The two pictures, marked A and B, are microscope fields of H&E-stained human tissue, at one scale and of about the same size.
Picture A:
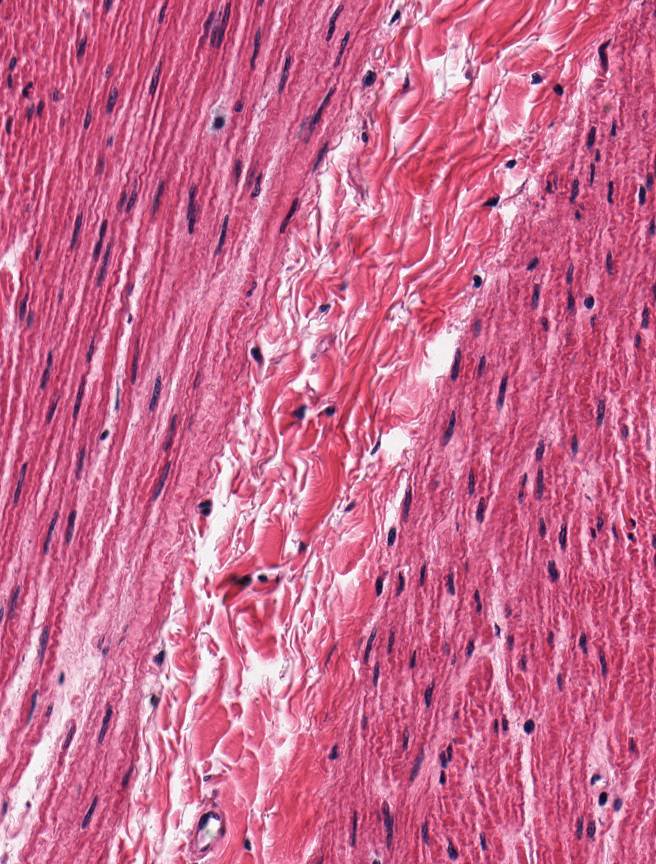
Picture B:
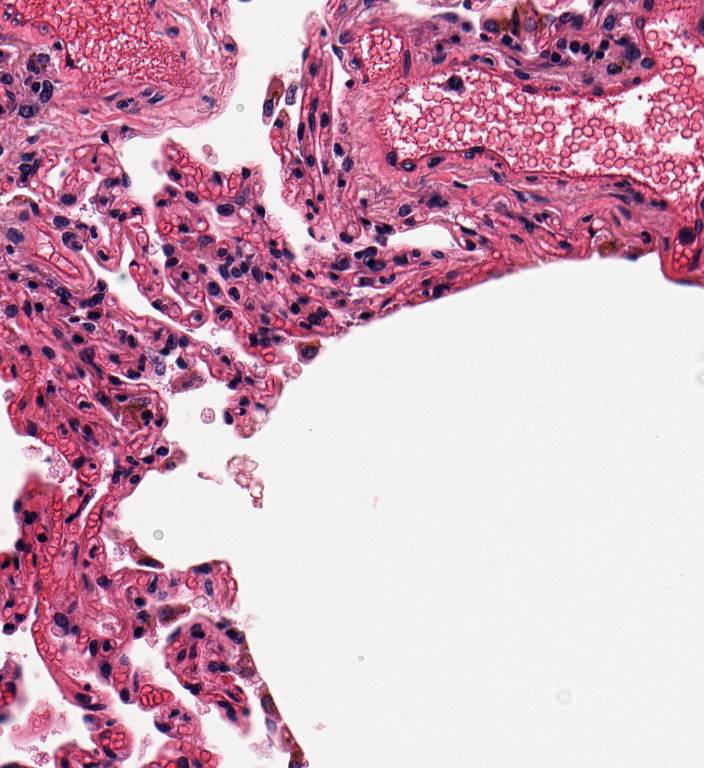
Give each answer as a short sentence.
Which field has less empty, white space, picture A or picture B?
It is picture A that stained tissue fills more completely.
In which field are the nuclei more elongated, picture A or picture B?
Longer, more slender nuclei lie in picture A.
